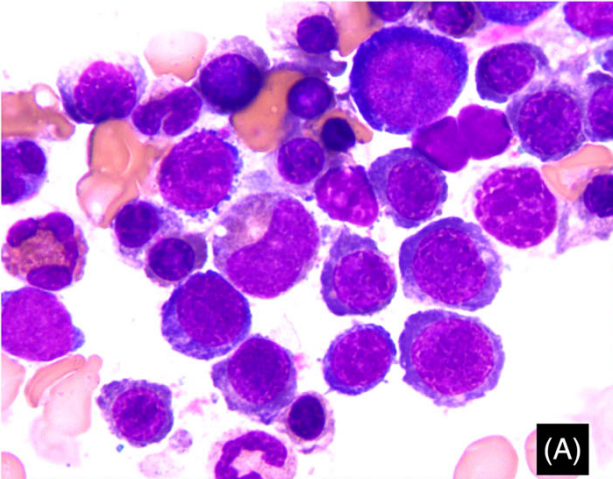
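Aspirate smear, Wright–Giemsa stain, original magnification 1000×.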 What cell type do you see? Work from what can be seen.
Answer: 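Many large cells with round nuclei and finely stippled open chromatin. Cytoplasm is deep blue and rims the nucleus.
Megaloblastoid erythroid precursors.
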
